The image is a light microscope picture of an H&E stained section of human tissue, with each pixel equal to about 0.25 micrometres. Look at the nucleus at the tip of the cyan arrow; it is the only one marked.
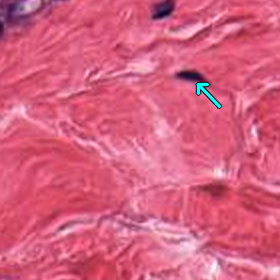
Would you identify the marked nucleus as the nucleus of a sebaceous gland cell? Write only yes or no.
no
